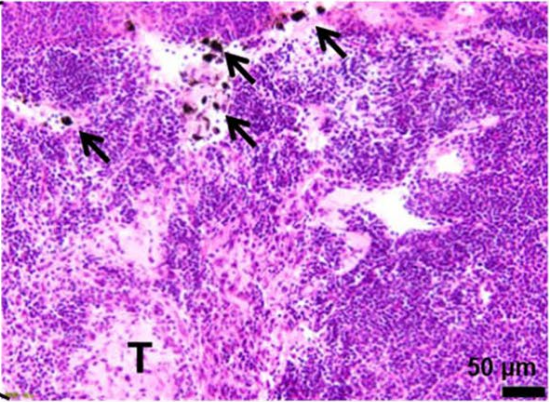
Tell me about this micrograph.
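This is lymph node tissue in which sheets of small lymphocytes with dark round nuclei and scant cytoplasm surround a paler, looser pink zone where tumor cells have spread into the node. Near the upper edge, clumps of coarse black granular material lie among the cells at the margin of this paler area.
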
